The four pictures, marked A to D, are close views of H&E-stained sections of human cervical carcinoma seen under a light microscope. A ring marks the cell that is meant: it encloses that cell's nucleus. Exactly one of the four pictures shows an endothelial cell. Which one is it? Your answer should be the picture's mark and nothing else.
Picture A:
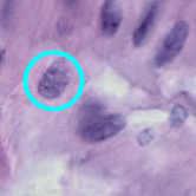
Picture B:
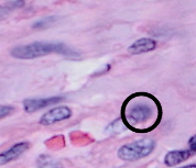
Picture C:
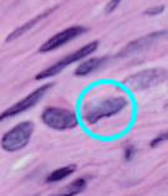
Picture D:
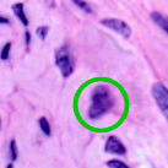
B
